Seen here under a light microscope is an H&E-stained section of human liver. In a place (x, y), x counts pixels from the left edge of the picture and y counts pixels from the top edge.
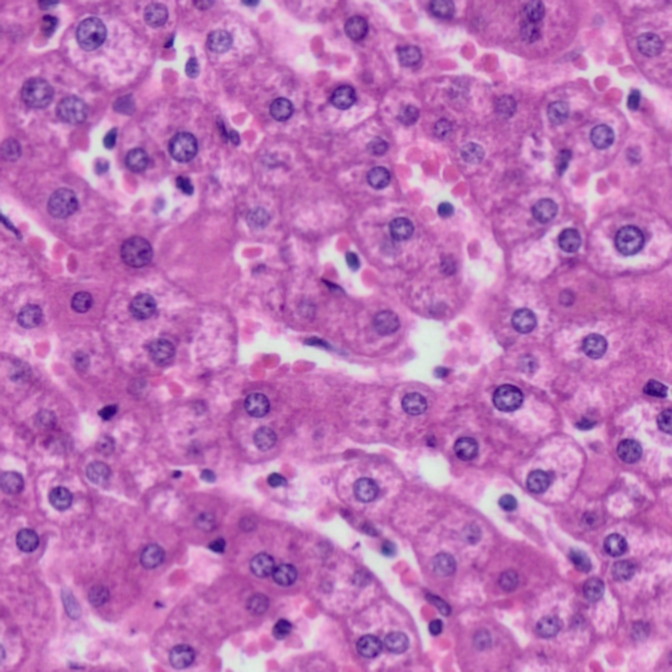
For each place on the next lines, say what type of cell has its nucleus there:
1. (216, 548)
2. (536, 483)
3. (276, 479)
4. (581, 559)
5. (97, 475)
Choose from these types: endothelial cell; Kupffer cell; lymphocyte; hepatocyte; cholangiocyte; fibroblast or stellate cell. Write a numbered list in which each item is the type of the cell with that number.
1. fibroblast or stellate cell
2. hepatocyte
3. lymphocyte
4. Kupffer cell
5. hepatocyte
